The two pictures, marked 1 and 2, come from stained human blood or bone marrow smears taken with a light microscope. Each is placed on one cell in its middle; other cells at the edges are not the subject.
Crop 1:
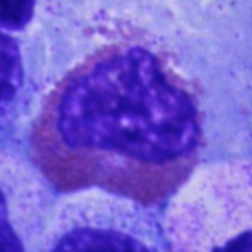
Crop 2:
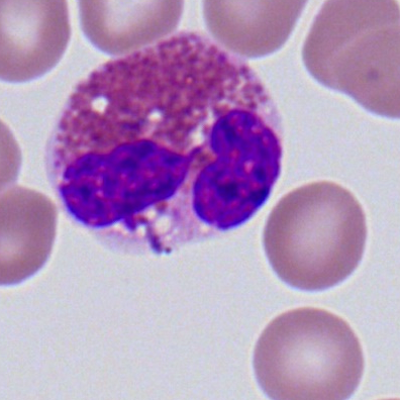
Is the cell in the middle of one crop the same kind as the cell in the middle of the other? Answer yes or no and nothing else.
yes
